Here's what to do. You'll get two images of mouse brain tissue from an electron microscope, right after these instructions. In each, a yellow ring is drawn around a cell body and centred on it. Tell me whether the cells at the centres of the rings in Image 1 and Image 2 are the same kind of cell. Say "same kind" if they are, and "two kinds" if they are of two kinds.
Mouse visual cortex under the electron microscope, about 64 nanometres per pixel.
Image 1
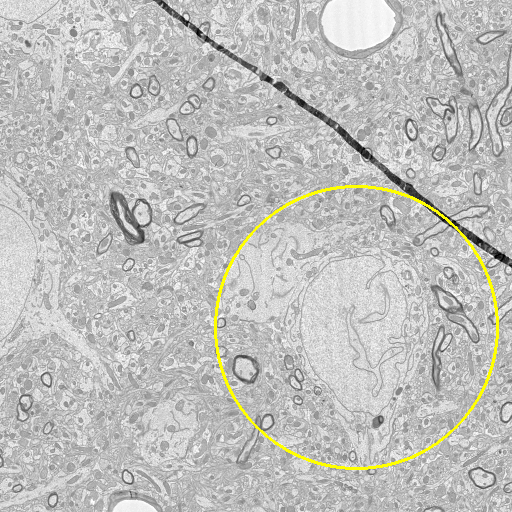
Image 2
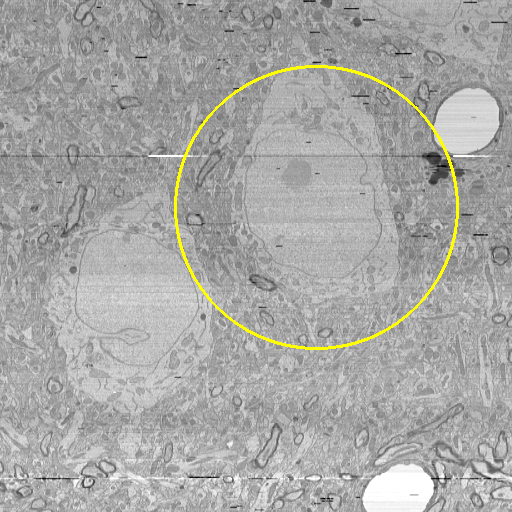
two kinds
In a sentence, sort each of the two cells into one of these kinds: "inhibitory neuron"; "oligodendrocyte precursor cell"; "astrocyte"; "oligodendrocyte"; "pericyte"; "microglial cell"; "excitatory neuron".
The first of the two cells is an inhibitory neuron, and the second is an excitatory neuron.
